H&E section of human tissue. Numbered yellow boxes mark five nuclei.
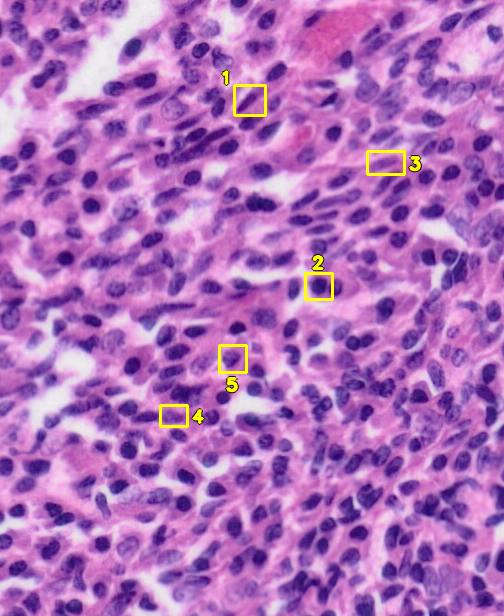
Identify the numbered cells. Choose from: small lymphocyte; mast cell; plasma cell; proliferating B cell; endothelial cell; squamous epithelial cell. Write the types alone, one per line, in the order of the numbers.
squamous epithelial cell
plasma cell
squamous epithelial cell
squamous epithelial cell
plasma cell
